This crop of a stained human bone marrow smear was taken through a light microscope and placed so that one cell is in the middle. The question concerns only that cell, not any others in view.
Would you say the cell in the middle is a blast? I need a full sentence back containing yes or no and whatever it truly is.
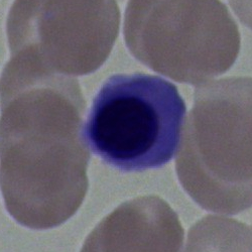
No, instead of being a blast, the middle cell is an erythroblast.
